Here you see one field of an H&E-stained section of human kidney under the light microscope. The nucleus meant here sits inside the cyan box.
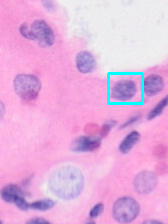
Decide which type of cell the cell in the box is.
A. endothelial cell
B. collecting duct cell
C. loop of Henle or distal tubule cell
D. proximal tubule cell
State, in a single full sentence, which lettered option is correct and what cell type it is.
The correct option here, C, identifies the cell in the box as a loop of Henle or distal tubule cell.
